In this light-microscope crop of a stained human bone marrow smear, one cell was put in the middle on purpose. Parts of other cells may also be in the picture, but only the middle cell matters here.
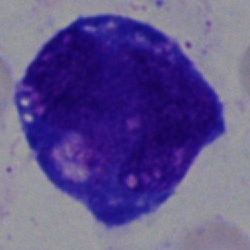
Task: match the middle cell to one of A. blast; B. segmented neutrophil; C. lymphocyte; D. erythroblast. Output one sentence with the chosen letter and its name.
The centered cell is a blast, which is why option A is right.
